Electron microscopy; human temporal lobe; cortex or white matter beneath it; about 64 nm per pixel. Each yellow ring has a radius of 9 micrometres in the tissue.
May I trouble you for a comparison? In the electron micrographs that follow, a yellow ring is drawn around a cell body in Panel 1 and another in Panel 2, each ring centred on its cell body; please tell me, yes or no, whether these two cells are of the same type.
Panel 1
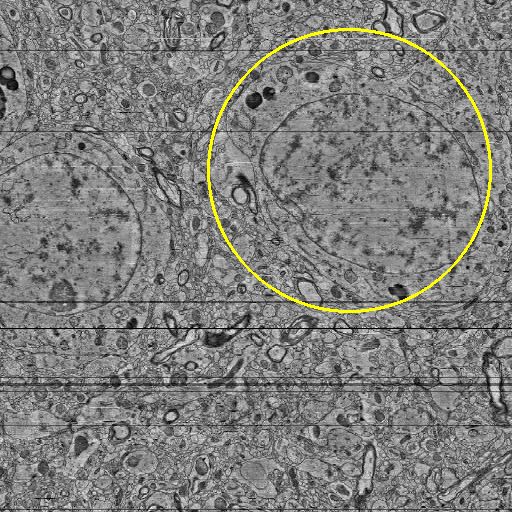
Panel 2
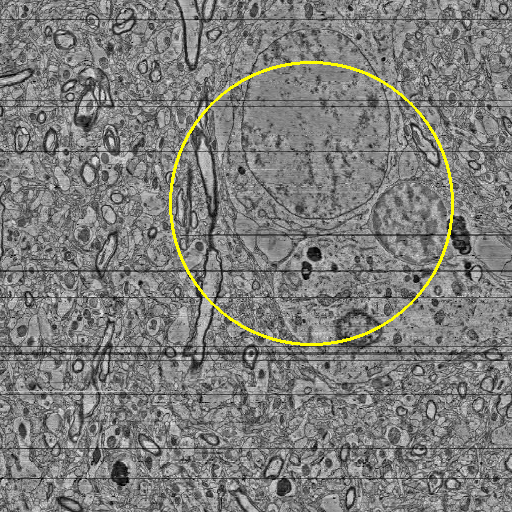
yes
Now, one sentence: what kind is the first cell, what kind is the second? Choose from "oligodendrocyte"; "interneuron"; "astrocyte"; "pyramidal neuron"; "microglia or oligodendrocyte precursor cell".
Each cell, in the first picture and the second, is a pyramidal neuron.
